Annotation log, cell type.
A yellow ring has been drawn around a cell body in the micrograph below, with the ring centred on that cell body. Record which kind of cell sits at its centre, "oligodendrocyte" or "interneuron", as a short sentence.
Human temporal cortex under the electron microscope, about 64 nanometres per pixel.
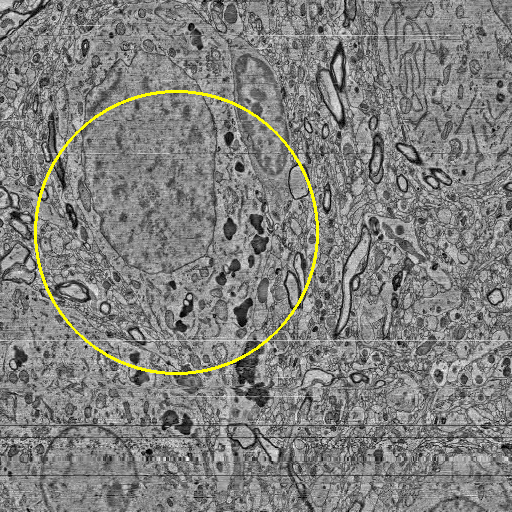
The cell at the centre of this ring is an interneuron.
